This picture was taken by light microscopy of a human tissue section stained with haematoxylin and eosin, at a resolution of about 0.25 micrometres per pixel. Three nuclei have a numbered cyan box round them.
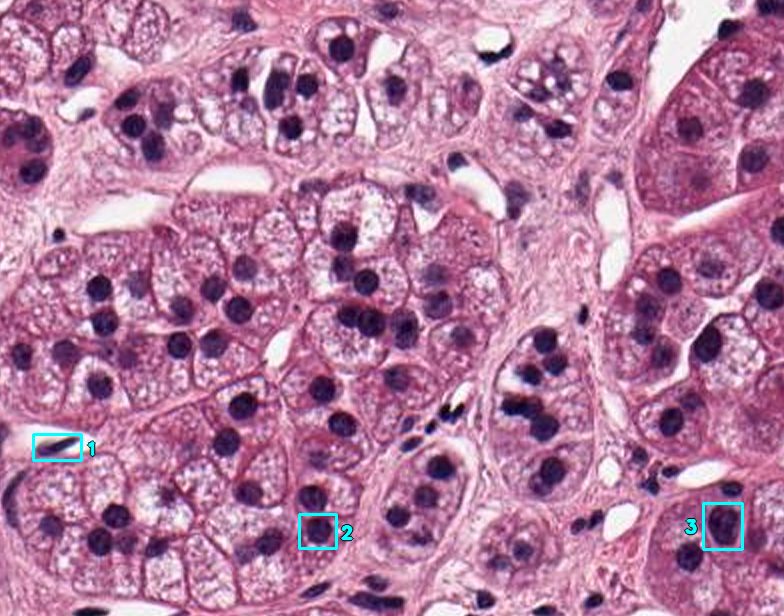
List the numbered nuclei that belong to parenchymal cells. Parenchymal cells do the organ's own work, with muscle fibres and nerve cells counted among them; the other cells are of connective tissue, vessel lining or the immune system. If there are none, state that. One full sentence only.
Nuclei 2 and 3 are held by parenchymal cells.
